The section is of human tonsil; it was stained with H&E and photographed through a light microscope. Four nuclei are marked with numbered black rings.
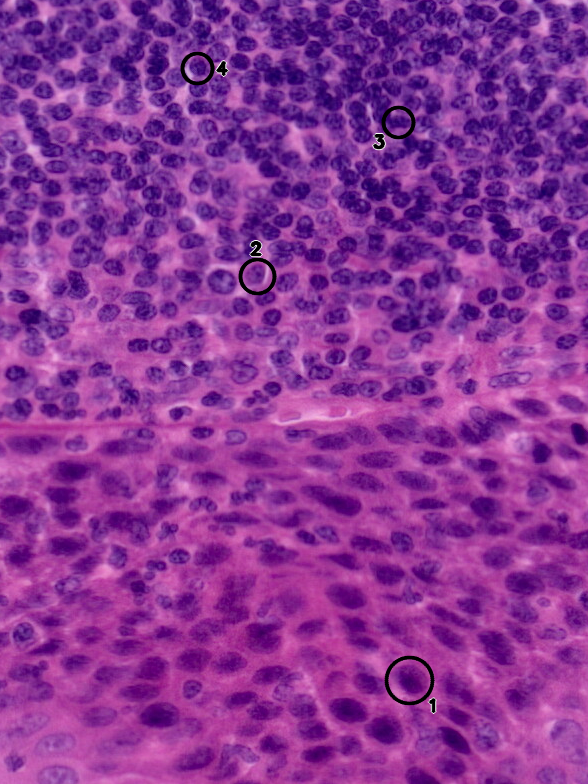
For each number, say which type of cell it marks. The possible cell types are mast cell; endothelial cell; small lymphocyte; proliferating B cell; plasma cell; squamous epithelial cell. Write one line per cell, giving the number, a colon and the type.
1: squamous epithelial cell
2: plasma cell
3: small lymphocyte
4: small lymphocyte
